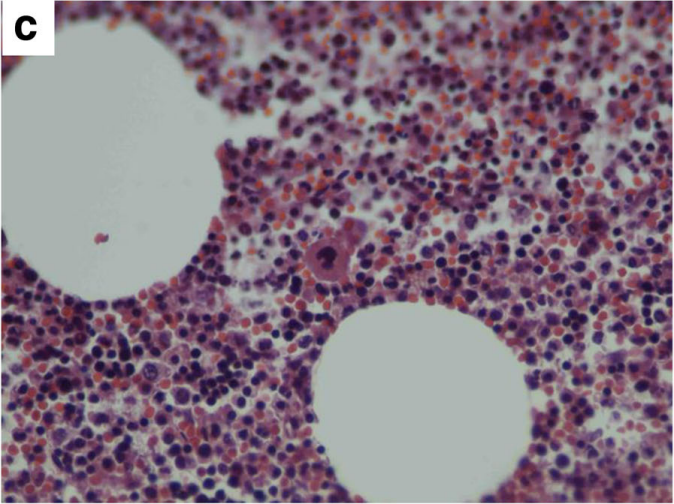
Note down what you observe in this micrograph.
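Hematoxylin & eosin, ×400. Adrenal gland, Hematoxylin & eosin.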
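This is haematopoietic marrow-like tissue lying between large round empty fat vacuoles. The space is crowded with small round cells with dark purple nuclei, mixed with many bright red anucleate and nucleated red cell forms. Near the centre sits one very large cell with plentiful pink cytoplasm and a lobulated dark nucleus, a megakaryocyte. The mixture of myeloid and red cell precursors with megakaryocytes beside fat is the pattern of a myelolipoma.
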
